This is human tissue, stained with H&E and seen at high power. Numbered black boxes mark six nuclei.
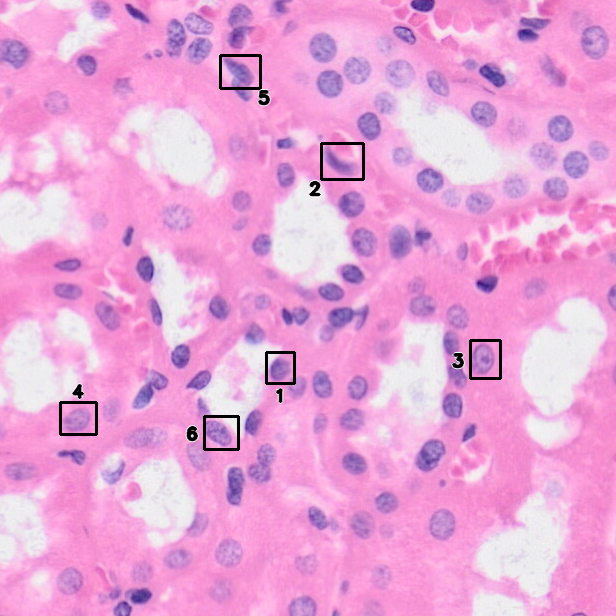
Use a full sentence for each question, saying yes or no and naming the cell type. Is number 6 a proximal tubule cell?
No, rather than a proximal tubule cell, cell number 6 is a loop of Henle or distal tubule cell.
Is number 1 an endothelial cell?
No, what number 1 shows is a loop of Henle or distal tubule cell, not an endothelial cell.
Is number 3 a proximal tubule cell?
Yes, the marked cell with number 3 is a proximal tubule cell.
